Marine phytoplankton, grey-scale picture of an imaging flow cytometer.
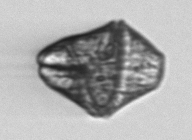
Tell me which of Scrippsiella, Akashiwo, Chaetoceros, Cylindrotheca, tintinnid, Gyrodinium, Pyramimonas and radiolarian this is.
The picture shows Akashiwo.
